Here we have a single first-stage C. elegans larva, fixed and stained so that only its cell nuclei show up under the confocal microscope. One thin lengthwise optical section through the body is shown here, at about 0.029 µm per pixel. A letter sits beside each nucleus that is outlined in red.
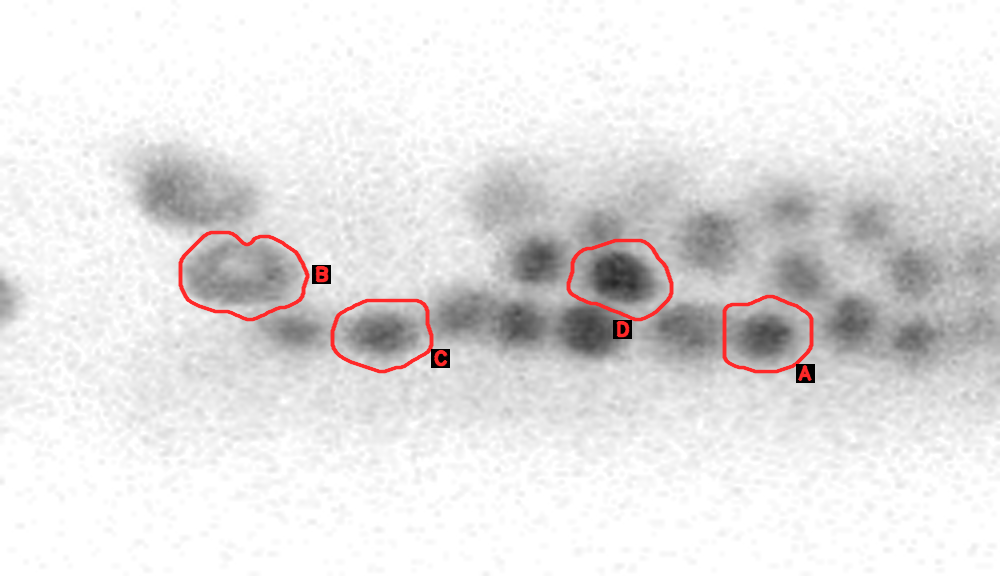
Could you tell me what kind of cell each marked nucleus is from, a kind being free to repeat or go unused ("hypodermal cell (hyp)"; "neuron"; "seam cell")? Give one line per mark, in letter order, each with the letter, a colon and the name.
A: neuron
B: seam cell
C: neuron
D: neuron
